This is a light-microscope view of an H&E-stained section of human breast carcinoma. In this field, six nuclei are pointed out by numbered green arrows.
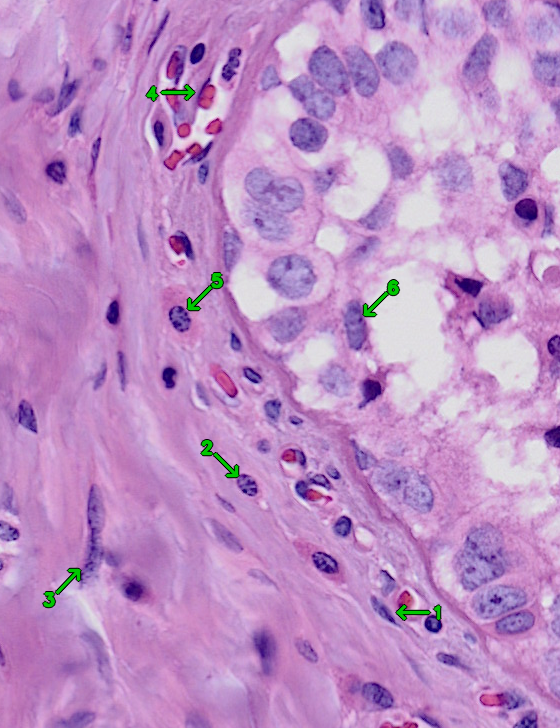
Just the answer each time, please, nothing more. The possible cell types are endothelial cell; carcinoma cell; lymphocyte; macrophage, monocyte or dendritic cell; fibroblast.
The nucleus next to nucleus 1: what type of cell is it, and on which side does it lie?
a fibroblast above nucleus 1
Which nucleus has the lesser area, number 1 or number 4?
4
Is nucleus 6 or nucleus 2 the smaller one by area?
2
